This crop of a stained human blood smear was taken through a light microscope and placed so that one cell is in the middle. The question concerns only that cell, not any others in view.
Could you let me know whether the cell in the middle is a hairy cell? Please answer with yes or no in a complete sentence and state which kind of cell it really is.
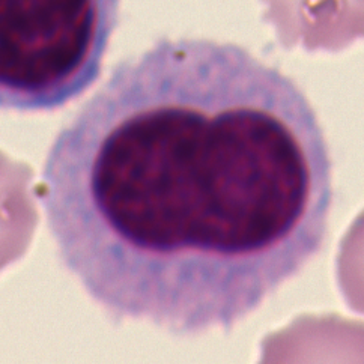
Yes, the centred cell is categorised as a hairy cell.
